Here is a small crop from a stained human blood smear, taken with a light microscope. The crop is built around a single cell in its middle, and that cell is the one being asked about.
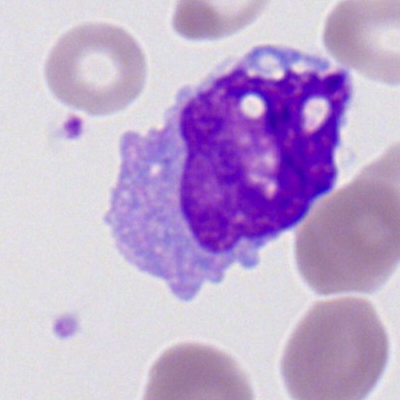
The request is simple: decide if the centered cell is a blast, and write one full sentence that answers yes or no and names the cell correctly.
No, the centred cell is a monocyte instead of a blast.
